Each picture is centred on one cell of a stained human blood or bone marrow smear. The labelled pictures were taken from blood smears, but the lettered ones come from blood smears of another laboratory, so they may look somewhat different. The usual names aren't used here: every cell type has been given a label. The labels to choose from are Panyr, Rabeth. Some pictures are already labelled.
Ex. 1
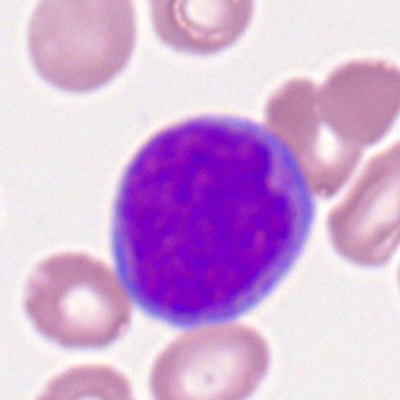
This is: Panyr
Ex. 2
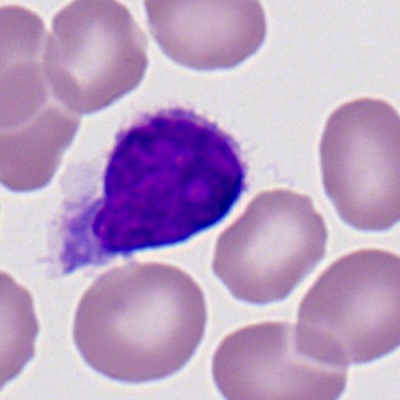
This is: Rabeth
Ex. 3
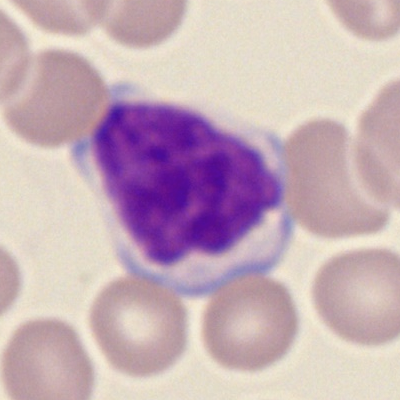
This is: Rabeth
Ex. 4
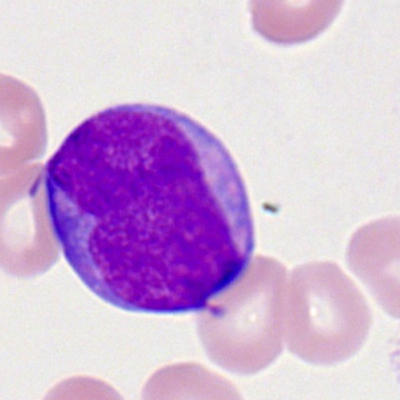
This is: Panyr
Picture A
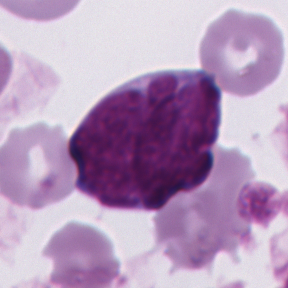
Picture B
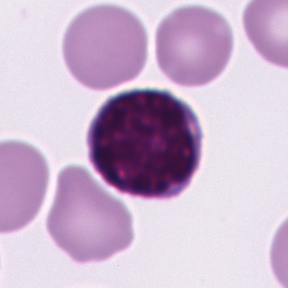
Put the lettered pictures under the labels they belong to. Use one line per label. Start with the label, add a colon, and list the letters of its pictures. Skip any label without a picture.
Panyr: A
Rabeth: B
